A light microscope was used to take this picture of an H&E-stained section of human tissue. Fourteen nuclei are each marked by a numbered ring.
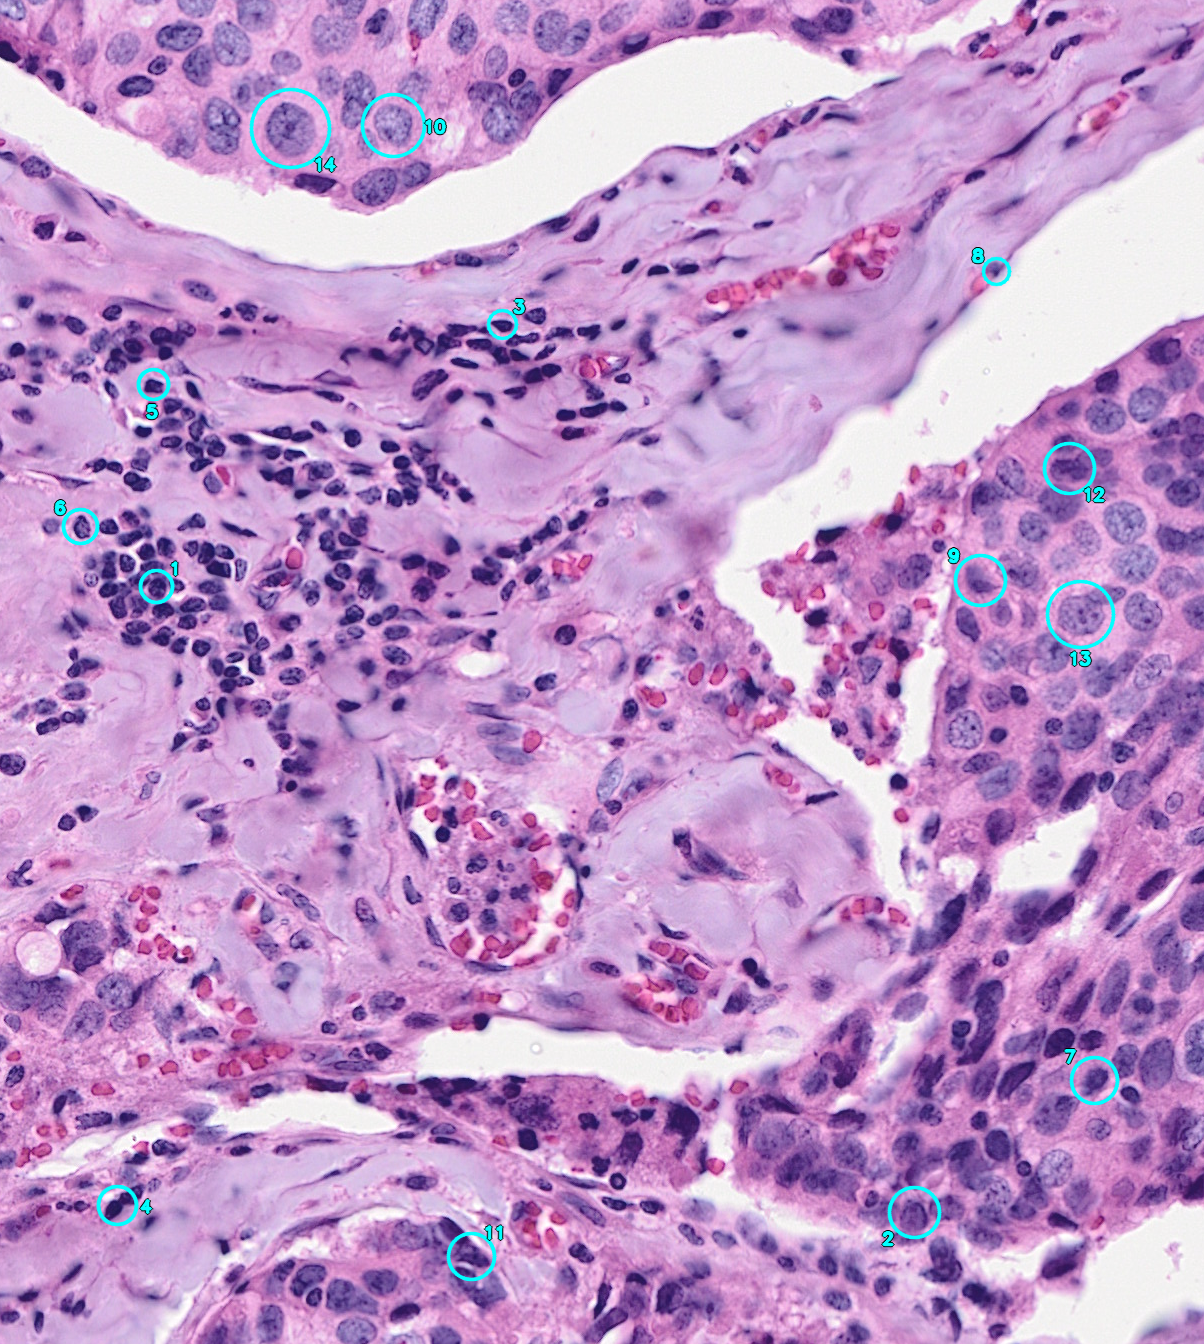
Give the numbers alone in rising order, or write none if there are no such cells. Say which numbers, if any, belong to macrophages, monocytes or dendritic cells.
none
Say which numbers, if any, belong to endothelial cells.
8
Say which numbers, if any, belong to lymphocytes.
1, 3, 4, 5, 6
